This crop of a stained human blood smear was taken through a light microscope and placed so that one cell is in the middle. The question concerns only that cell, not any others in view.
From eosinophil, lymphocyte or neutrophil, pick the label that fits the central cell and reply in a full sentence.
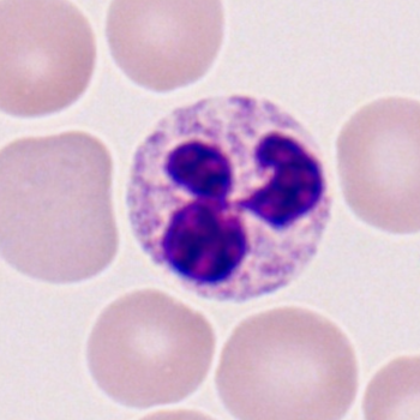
Positioned in the middle of the crop is a neutrophil.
